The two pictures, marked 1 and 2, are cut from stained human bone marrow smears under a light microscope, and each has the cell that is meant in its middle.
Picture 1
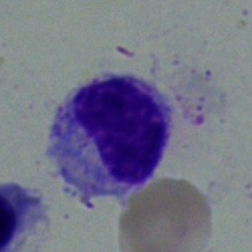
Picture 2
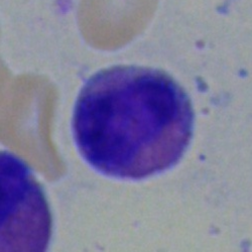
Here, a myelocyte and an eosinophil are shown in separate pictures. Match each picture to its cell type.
1: myelocyte
2: eosinophil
